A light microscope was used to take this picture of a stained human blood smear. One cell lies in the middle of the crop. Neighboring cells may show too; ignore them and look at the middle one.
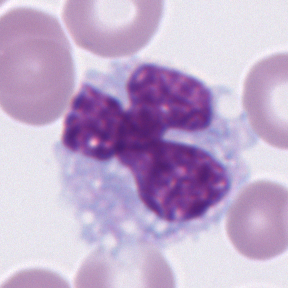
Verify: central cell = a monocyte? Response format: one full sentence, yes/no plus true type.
Yes, the cell in the middle is rightly called a monocyte.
